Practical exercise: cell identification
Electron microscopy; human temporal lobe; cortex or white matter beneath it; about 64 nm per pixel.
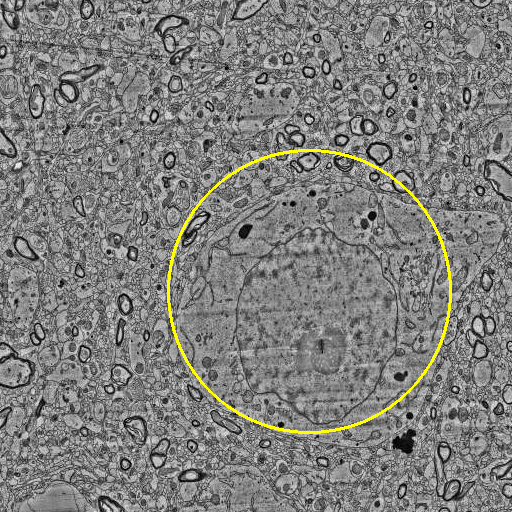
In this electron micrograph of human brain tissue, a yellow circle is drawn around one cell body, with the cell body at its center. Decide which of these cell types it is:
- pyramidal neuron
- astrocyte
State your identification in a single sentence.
The ringed cell is a pyramidal neuron.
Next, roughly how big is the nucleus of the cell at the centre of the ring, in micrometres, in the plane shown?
Approximately 11 micrometres across in this plane.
